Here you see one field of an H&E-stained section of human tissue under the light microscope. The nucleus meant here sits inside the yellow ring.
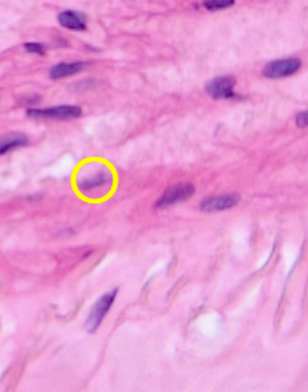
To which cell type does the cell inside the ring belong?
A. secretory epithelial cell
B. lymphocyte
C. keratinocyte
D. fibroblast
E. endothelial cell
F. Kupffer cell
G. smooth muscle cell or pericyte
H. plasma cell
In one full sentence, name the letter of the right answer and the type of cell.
In this case the cell inside the ring is a smooth muscle cell or pericyte, so option G is correct.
